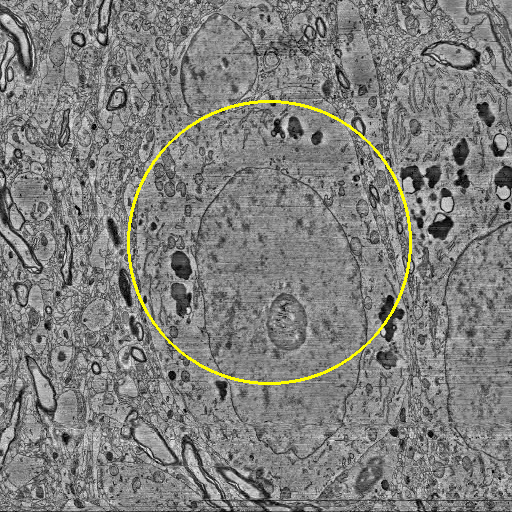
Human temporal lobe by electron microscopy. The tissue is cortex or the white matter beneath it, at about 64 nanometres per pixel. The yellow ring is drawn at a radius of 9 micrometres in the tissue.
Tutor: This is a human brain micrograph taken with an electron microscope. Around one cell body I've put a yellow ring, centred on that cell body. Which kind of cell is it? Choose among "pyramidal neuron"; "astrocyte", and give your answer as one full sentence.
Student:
Going by your list, the cell centred in the yellow ring is a pyramidal neuron.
